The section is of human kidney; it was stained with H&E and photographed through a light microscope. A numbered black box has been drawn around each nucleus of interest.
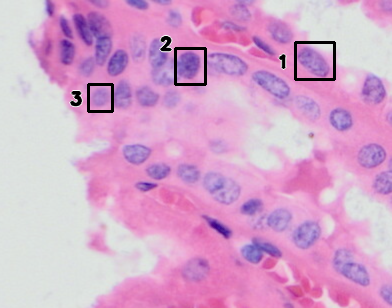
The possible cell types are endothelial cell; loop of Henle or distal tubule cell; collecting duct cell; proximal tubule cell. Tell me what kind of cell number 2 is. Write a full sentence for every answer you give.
The nucleus marked 2 is the nucleus of a collecting duct cell.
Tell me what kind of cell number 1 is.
The cell indicated by marker 1 is a loop of Henle or distal tubule cell in this section.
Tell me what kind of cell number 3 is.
The cell marked with the number 3 is a collecting duct cell.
